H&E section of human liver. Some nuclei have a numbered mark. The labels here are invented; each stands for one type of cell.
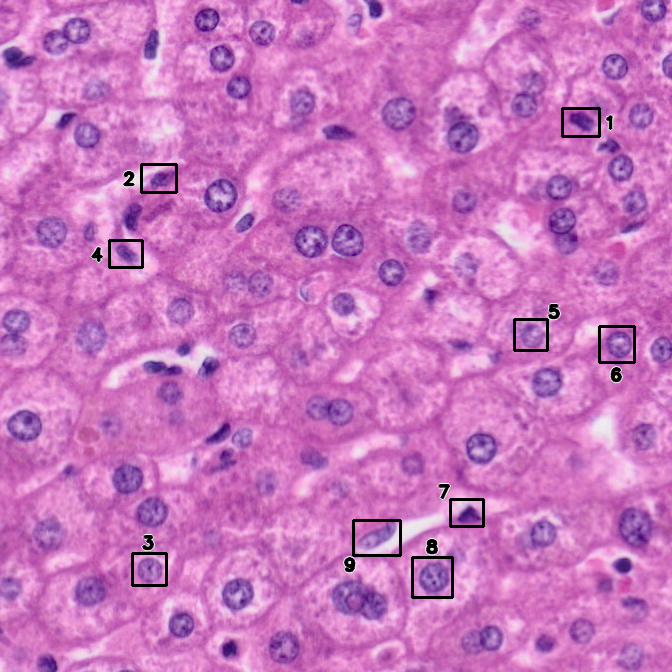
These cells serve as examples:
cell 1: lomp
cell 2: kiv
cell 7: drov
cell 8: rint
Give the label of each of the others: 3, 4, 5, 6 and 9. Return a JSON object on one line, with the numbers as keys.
{"3": "rint", "4": "kiv", "5": "rint", "6": "rint", "9": "kiv"}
